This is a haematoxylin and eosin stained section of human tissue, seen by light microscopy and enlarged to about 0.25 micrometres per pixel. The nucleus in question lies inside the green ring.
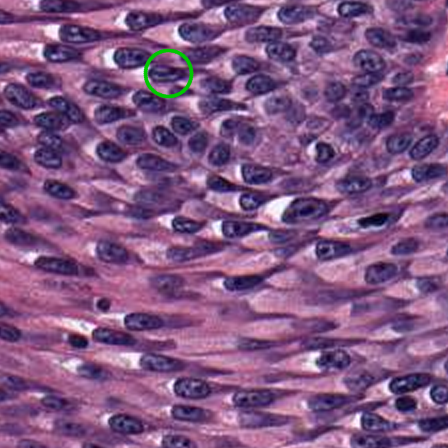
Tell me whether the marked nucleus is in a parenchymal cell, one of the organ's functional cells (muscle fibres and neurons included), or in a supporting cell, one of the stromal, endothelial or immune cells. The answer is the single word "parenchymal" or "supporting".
parenchymal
